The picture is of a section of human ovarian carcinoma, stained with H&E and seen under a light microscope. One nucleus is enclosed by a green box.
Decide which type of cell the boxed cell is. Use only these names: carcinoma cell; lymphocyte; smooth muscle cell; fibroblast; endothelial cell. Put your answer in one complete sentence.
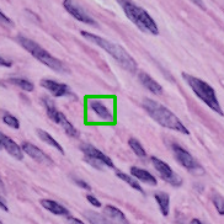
Recorded by type, the boxed cell is a smooth muscle cell.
